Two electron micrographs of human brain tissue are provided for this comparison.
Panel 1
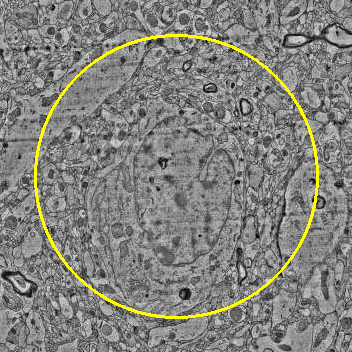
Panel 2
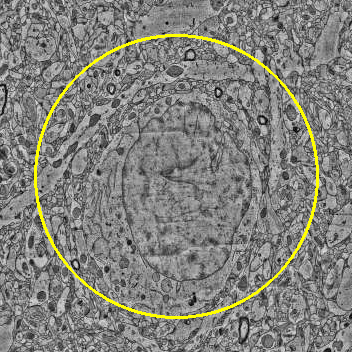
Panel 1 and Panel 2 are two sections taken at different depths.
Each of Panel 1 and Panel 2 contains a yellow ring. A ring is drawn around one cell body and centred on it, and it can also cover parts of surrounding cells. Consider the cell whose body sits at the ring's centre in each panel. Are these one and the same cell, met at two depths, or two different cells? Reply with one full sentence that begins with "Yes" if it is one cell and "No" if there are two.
Yes, each ring singles out the same cell.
